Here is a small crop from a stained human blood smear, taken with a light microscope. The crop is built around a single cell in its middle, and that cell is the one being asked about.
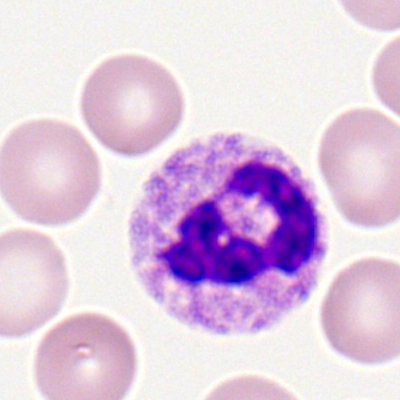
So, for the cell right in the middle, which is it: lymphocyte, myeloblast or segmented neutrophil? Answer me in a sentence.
The central element of this crop is a cell, namely a segmented neutrophil.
